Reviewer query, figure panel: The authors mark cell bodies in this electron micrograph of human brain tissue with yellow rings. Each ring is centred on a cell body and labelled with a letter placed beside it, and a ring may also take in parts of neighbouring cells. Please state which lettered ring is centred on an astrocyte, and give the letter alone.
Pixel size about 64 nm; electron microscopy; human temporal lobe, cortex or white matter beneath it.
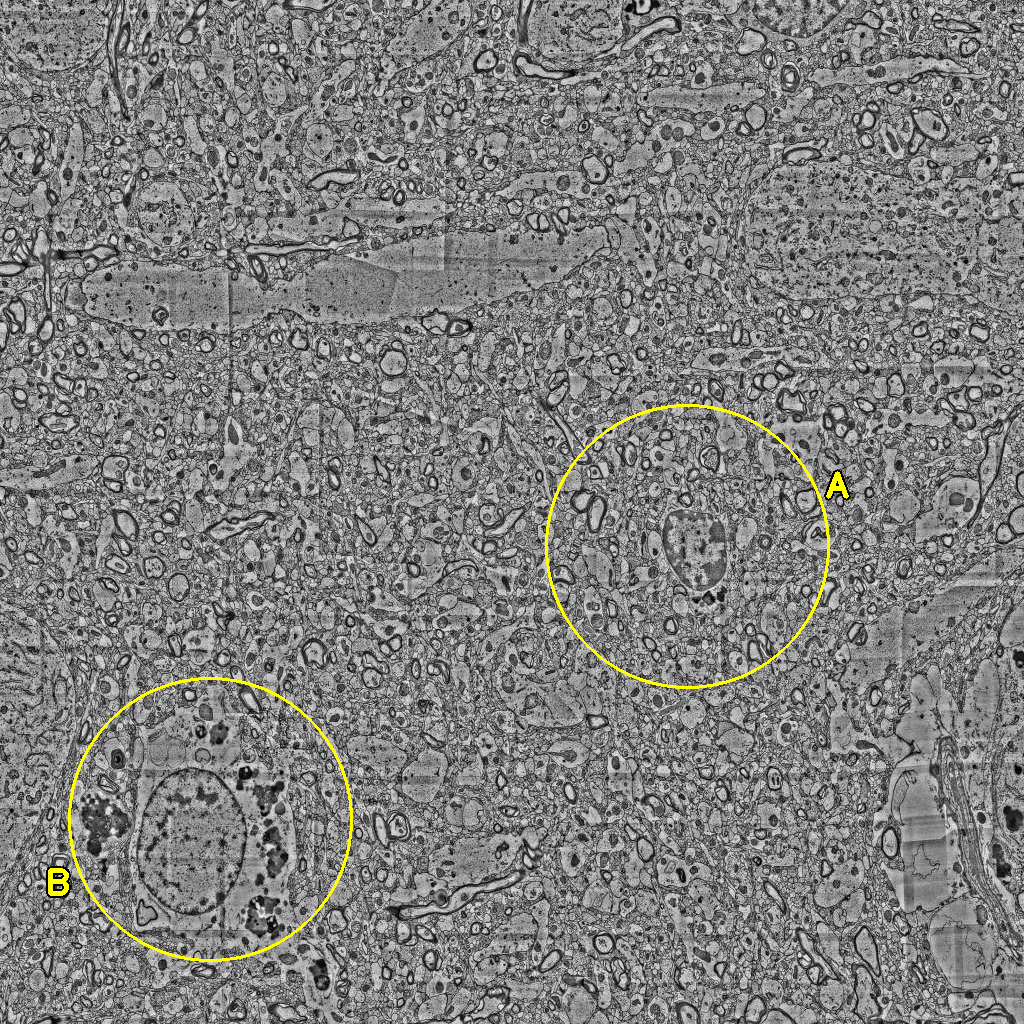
B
